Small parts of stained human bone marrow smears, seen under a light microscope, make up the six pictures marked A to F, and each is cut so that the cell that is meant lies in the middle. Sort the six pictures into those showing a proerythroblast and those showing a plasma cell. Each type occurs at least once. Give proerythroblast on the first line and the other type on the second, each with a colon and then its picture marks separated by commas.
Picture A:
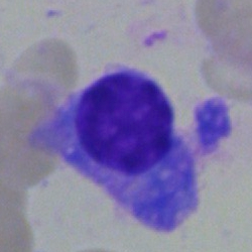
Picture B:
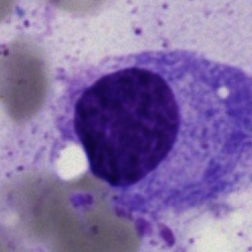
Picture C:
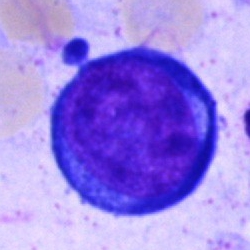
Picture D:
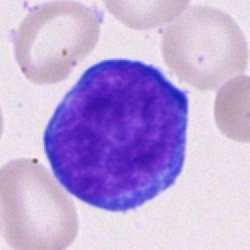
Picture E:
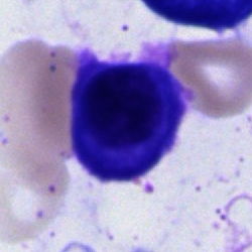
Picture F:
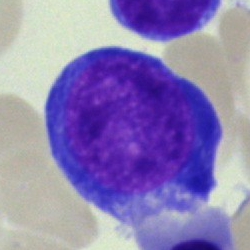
proerythroblast: C, D, F
plasma cell: A, B, E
